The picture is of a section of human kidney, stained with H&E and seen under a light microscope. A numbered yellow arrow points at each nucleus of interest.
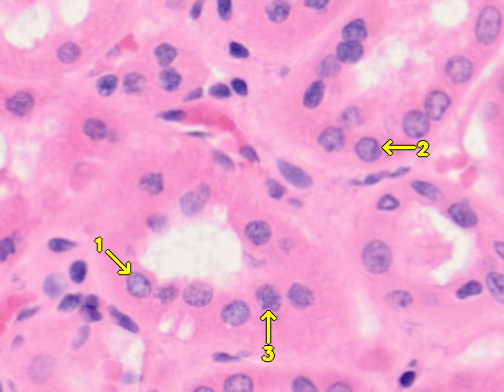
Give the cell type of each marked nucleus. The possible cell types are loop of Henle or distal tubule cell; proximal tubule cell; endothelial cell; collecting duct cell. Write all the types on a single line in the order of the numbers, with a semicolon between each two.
loop of Henle or distal tubule cell; proximal tubule cell; loop of Henle or distal tubule cell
